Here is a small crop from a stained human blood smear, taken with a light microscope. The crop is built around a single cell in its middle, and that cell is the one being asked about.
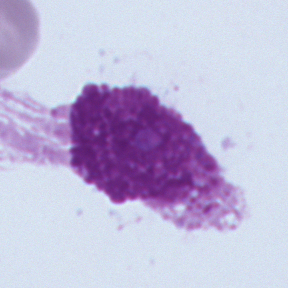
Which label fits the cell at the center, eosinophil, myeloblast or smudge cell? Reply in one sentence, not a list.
The cell found in the middle of this crop is a smudge cell.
